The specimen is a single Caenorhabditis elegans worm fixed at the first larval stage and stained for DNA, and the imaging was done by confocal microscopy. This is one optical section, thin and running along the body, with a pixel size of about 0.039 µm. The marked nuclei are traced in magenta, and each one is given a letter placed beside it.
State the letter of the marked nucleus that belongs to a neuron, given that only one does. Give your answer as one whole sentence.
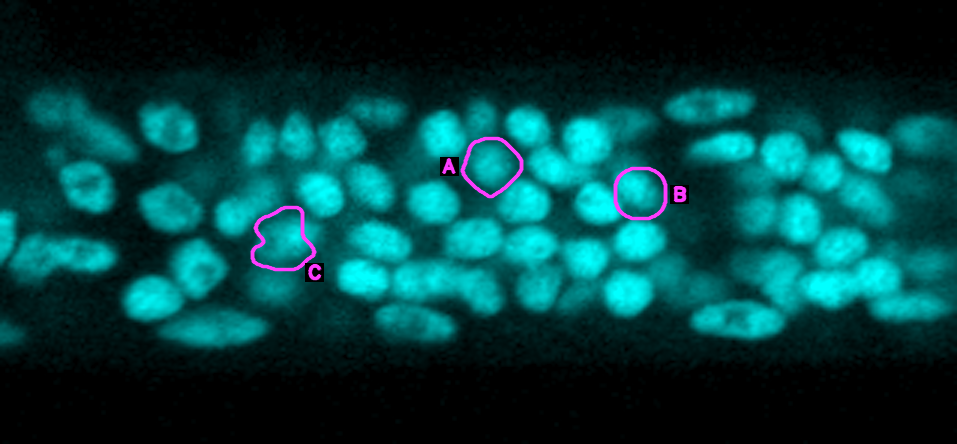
A is from a neuron.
